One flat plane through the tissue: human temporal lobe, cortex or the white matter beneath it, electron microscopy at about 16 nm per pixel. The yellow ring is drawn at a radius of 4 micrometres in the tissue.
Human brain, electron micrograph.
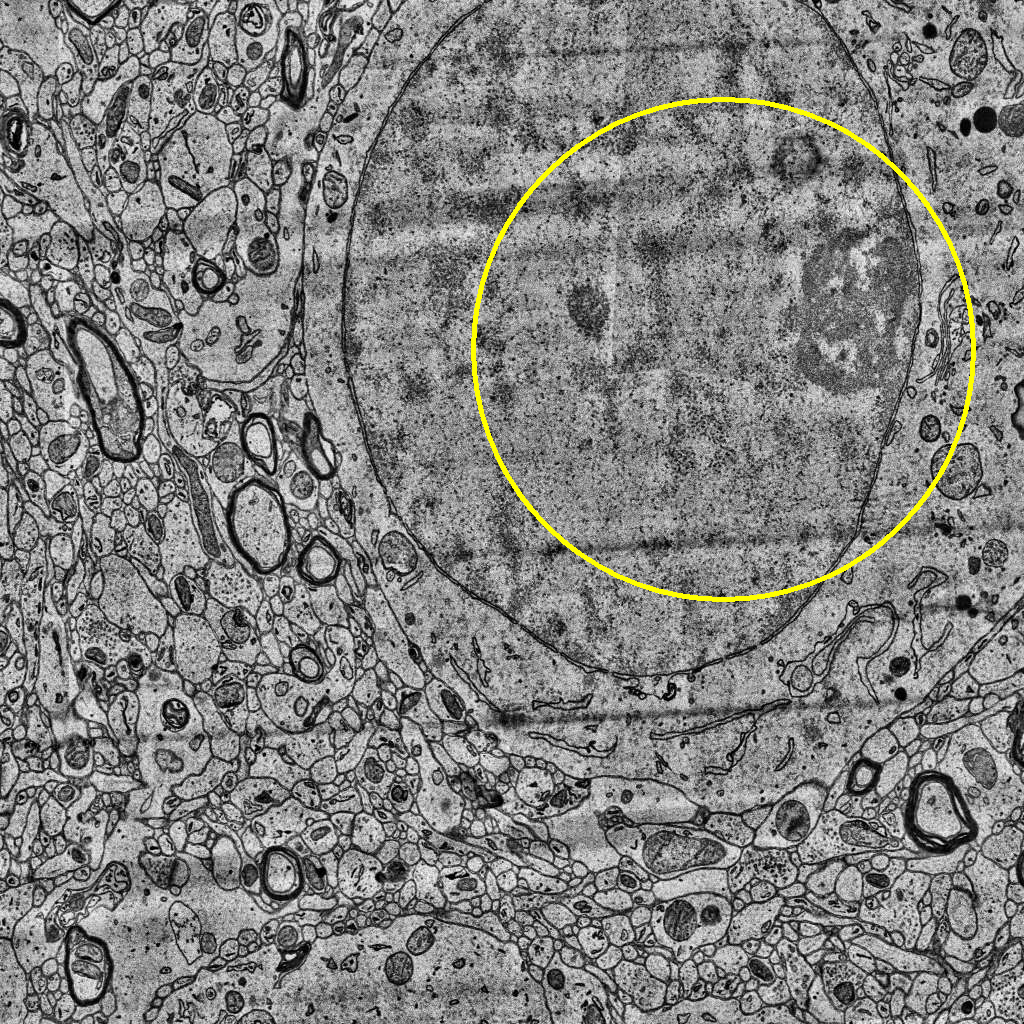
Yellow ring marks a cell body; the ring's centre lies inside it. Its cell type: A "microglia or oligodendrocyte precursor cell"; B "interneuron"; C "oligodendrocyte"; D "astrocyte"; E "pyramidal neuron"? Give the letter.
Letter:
E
